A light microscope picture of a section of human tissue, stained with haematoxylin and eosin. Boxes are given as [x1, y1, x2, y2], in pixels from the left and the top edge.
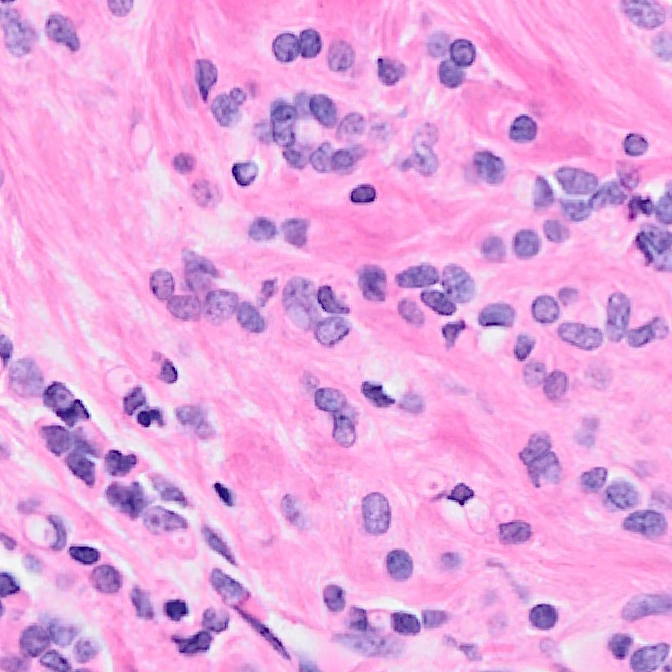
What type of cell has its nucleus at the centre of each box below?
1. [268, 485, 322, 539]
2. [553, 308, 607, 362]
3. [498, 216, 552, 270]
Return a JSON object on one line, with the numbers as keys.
{"1": "fibroblast", "2": "carcinoma cell", "3": "carcinoma cell"}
